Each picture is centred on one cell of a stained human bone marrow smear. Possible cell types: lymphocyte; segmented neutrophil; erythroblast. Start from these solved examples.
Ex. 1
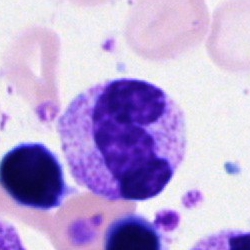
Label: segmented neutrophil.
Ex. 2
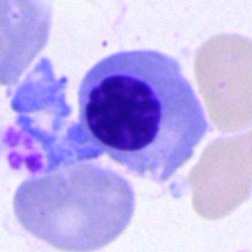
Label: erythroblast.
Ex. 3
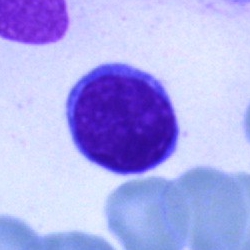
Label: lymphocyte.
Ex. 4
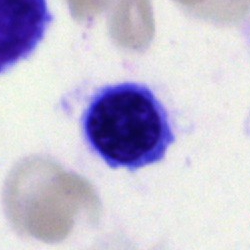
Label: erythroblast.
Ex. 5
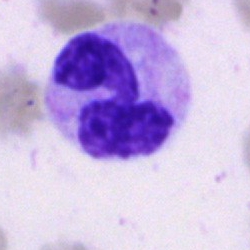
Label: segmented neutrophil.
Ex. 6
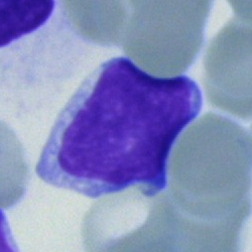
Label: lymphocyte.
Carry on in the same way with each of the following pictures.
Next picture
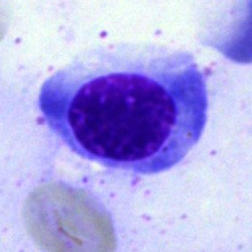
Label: erythroblast.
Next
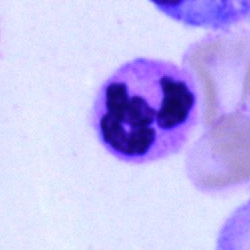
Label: segmented neutrophil.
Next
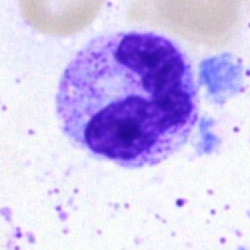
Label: segmented neutrophil.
